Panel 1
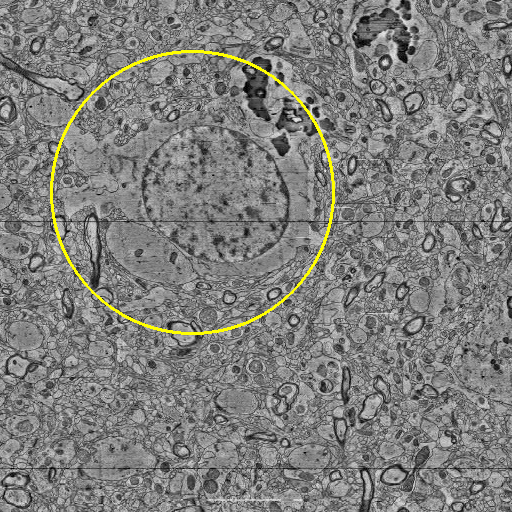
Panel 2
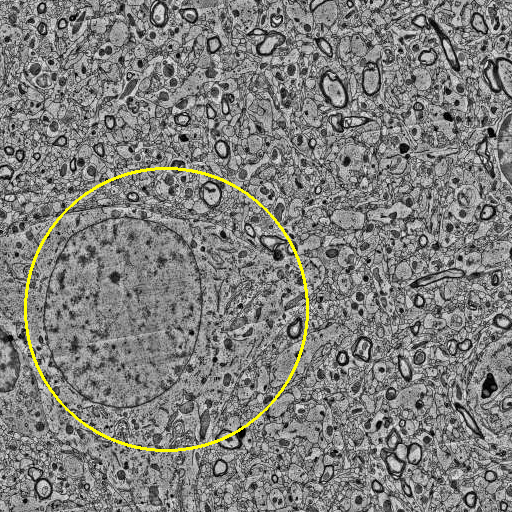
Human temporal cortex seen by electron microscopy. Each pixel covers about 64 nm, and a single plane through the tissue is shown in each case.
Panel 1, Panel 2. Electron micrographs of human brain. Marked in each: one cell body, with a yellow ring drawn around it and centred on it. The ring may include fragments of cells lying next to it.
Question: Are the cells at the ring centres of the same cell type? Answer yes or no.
no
